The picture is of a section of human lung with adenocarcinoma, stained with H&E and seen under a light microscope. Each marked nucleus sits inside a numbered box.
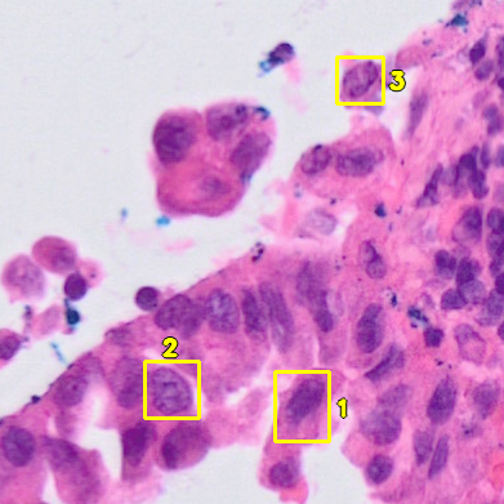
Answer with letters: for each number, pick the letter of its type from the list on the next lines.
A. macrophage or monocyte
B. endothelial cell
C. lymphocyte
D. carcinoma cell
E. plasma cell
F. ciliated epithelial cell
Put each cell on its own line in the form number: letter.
1: D
2: D
3: A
